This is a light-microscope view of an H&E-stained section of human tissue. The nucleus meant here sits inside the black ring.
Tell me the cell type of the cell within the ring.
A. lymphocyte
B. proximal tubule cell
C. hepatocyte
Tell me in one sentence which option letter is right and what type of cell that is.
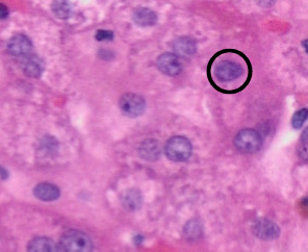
The correct option is C, as the cell within the ring is a hepatocyte.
